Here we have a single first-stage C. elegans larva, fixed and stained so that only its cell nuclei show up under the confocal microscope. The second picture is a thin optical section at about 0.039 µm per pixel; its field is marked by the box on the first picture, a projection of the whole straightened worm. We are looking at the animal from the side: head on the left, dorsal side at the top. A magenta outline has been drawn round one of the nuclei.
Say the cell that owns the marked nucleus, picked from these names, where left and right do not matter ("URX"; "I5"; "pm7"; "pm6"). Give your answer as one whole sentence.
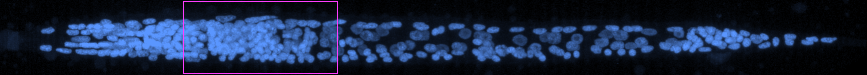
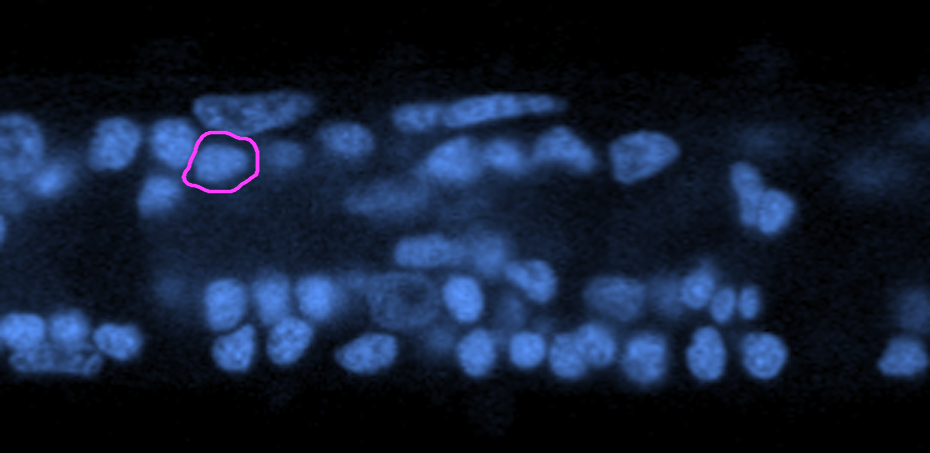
The cell whose nucleus is marked is URX, a neuron.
